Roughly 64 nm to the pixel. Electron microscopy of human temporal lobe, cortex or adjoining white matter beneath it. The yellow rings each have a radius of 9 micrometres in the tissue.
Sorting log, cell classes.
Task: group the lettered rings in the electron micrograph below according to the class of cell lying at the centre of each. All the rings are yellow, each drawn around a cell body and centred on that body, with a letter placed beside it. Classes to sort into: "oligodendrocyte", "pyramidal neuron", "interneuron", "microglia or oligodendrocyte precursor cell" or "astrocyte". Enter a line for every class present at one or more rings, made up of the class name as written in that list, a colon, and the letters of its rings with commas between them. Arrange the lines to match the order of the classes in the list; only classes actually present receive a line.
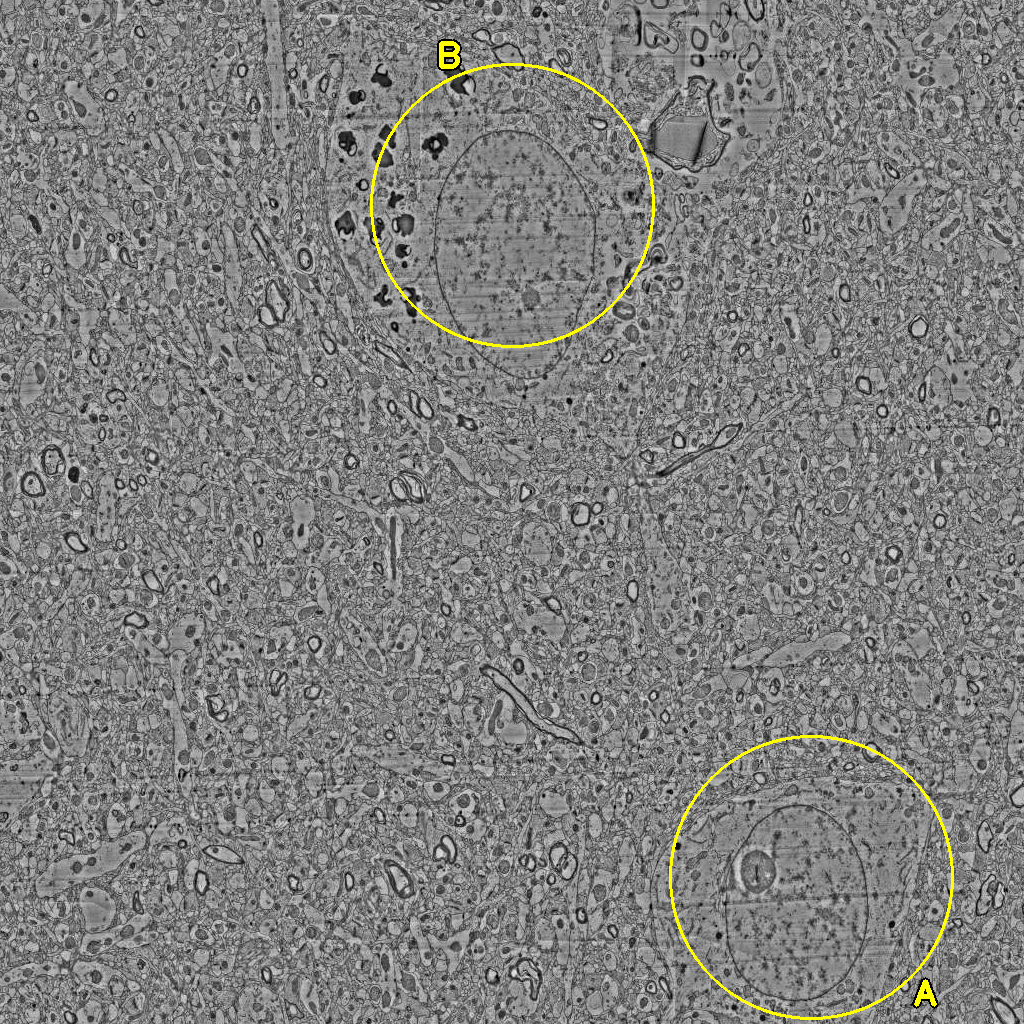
pyramidal neuron: A, B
